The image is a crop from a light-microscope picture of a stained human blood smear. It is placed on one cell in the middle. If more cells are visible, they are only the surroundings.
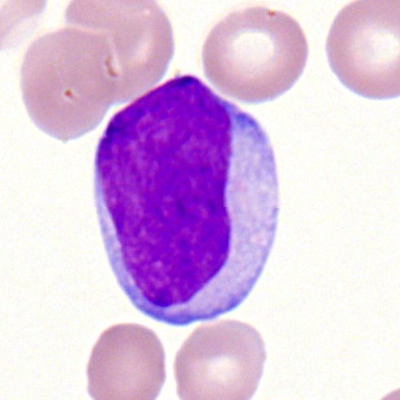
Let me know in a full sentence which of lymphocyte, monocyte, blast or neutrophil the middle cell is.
In the centre of this crop there is a blast.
